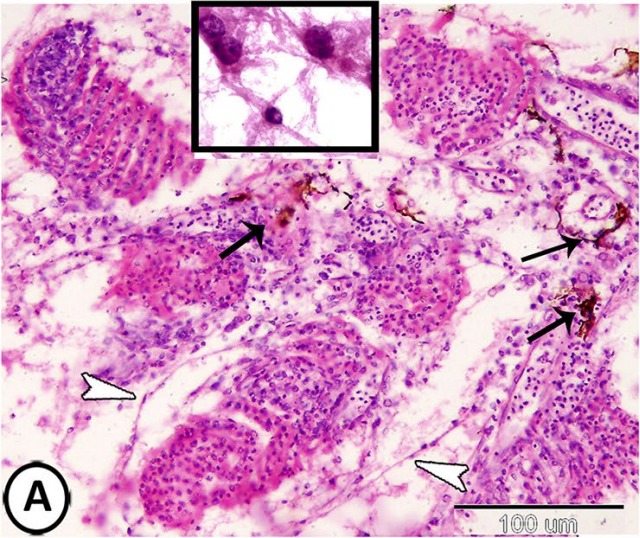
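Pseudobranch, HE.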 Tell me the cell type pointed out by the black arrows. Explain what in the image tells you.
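Melanocytes. The arrowed cells hold dark brown-black granular pigment. They lie in loose connective tissue between the pink cellular lamellae.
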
